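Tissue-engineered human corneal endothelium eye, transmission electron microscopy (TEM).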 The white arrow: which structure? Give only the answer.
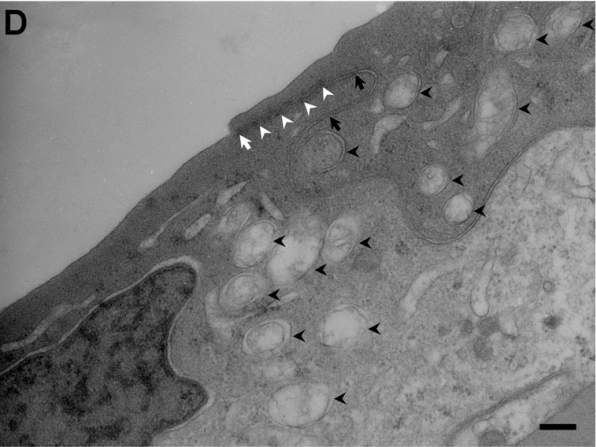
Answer: Intercellular tight junctions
